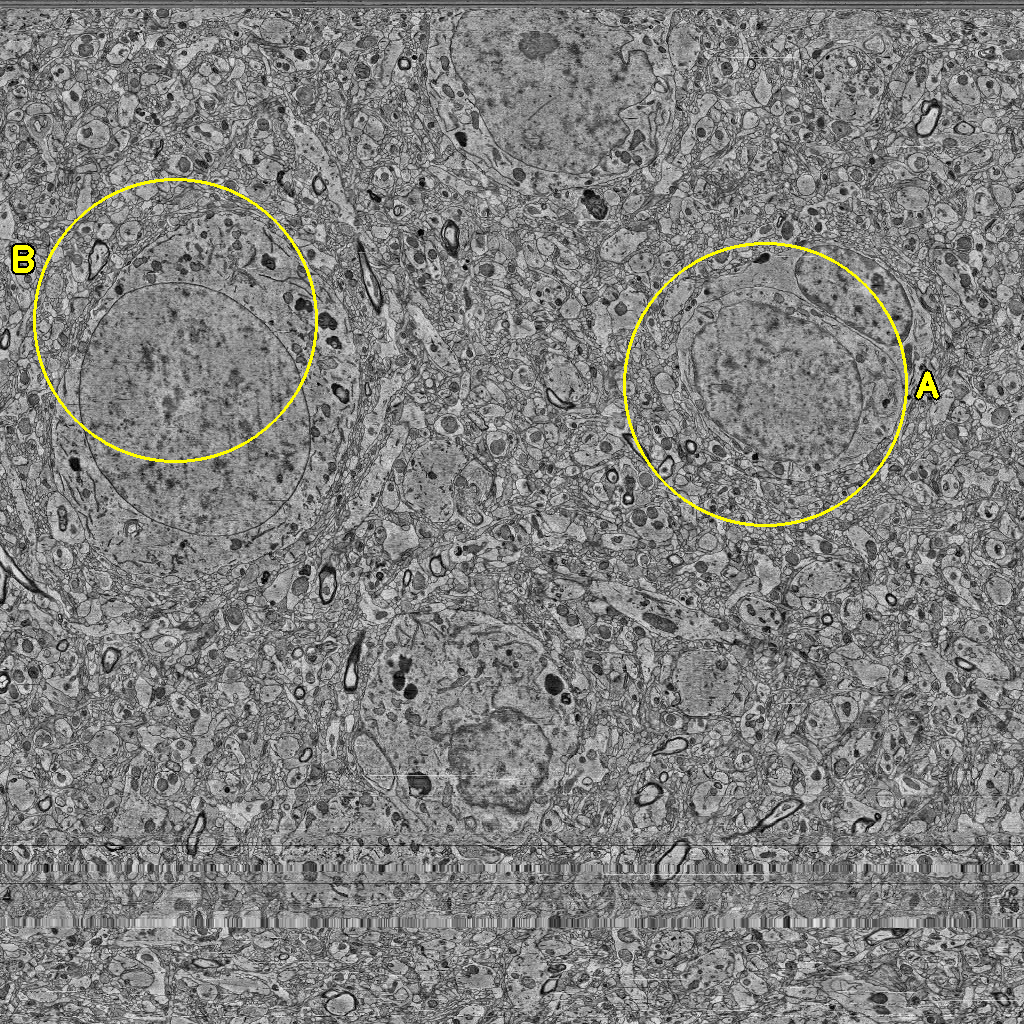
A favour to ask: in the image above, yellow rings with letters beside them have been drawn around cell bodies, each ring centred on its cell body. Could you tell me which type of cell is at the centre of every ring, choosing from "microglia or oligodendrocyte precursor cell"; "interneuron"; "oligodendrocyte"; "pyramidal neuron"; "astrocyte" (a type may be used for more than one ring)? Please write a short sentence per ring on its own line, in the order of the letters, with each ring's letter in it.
Ring A holds an interneuron at its centre.
Ring B holds a pyramidal neuron at its centre.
